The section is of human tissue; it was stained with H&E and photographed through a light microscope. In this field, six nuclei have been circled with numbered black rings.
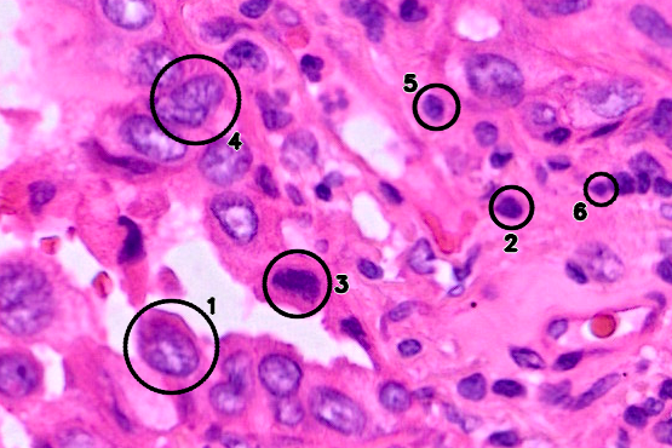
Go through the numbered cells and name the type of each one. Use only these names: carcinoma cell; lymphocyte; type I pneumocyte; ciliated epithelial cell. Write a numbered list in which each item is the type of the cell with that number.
1. carcinoma cell
2. lymphocyte
3. carcinoma cell
4. carcinoma cell
5. lymphocyte
6. lymphocyte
